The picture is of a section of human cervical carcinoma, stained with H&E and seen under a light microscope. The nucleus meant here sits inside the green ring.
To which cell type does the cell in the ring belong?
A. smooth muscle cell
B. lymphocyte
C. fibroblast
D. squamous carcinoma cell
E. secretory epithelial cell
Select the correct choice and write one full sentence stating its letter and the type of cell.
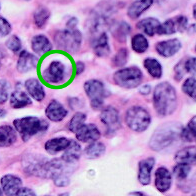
Option B matches the cell in the ring, which is a lymphocyte.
